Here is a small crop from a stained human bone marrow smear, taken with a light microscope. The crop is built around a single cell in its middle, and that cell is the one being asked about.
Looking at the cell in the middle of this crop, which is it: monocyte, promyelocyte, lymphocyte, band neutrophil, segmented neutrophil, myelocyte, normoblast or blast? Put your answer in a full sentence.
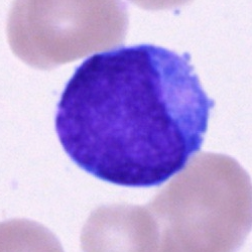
The centrally located cell in the crop is a blast.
